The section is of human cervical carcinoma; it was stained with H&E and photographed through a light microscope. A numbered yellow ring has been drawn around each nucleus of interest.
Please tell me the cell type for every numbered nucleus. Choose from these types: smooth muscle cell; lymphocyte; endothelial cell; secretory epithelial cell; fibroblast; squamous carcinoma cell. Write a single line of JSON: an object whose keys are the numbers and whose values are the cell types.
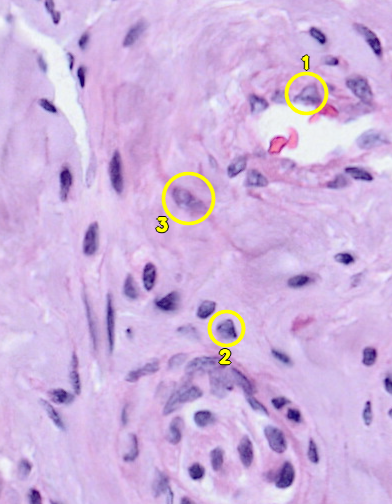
{"1": "endothelial cell", "2": "fibroblast", "3": "smooth muscle cell"}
